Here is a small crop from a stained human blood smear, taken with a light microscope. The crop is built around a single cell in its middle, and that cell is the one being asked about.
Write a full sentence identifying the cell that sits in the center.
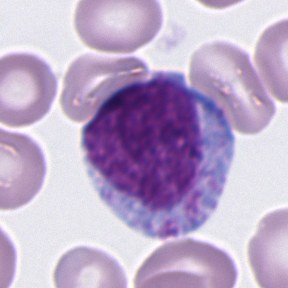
The cell under consideration, at the middle of the crop, is a myelocyte.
